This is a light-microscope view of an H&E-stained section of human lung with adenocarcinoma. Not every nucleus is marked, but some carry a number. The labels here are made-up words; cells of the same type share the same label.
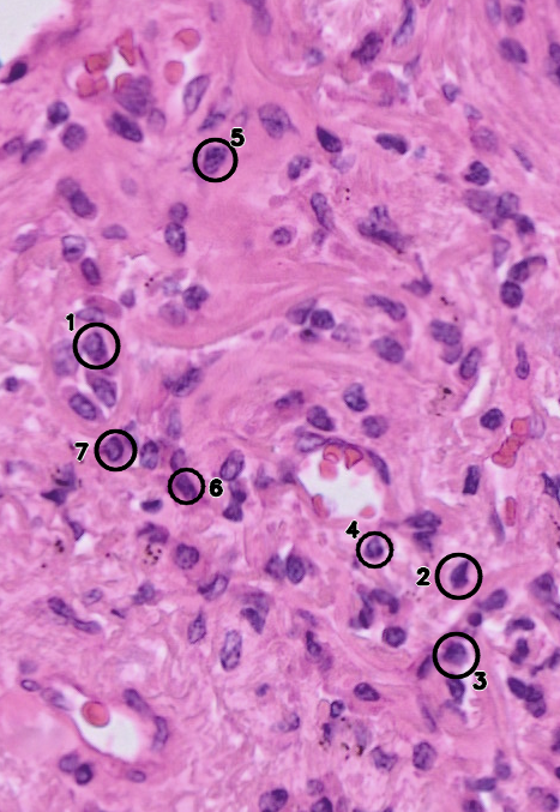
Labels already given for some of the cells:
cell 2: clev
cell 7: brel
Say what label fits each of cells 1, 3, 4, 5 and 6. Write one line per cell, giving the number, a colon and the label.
1: brel
3: clev
4: clev
5: brel
6: brel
